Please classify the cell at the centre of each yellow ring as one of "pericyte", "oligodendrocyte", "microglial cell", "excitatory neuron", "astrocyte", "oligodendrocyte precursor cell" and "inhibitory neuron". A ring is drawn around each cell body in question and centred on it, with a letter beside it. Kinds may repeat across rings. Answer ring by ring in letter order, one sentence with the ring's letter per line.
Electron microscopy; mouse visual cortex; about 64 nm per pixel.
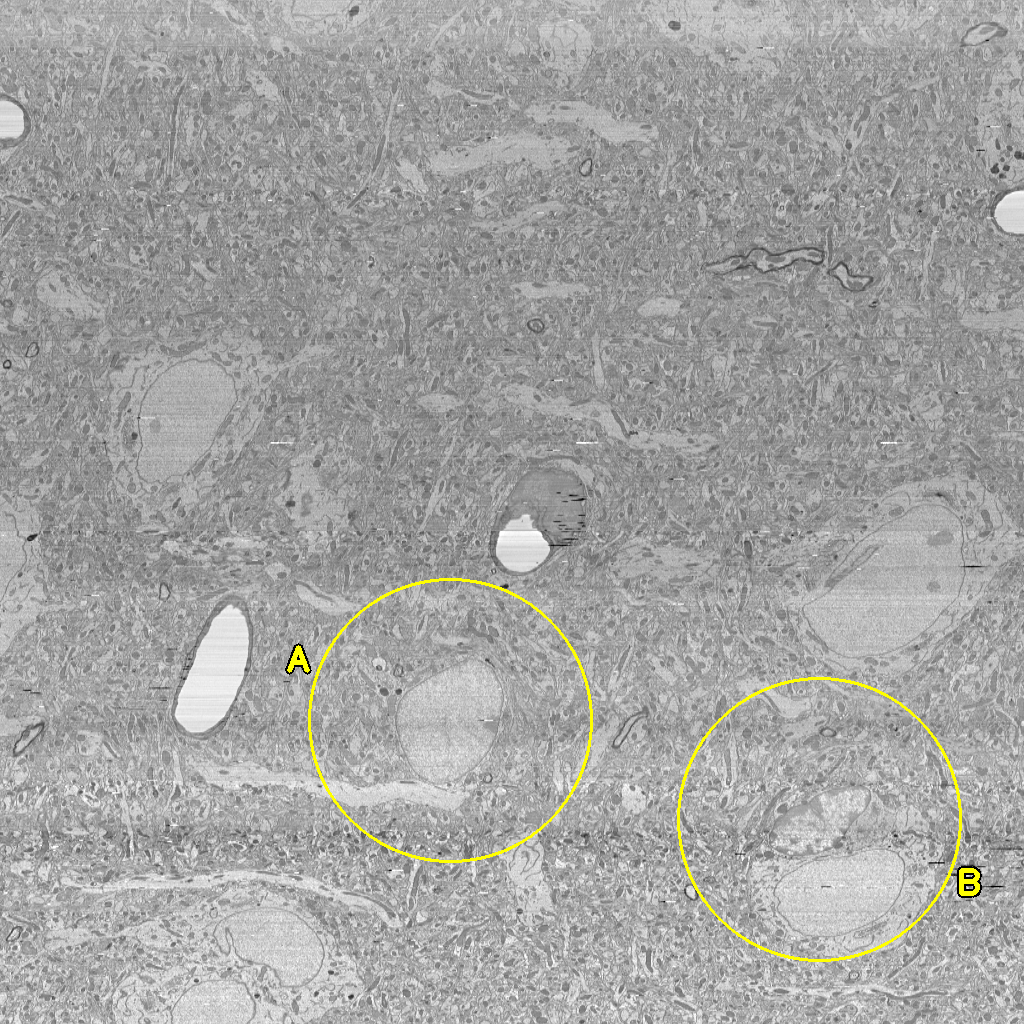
The cell at the heart of ring A is an astrocyte.
The cell at the heart of ring B is an oligodendrocyte.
